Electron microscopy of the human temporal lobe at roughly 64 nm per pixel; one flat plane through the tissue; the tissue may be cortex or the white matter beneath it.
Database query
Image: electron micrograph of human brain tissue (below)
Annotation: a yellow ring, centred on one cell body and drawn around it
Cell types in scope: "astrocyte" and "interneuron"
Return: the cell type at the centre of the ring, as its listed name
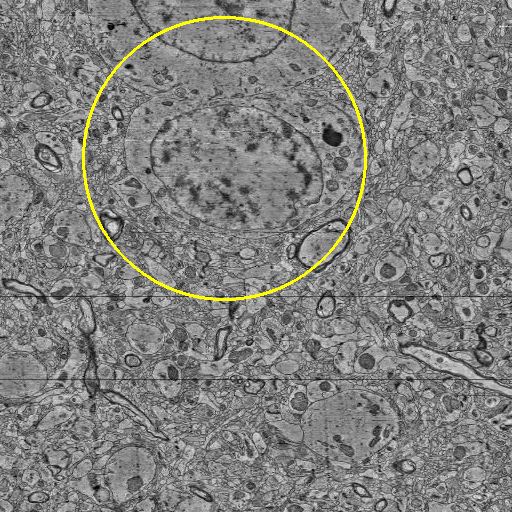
interneuron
